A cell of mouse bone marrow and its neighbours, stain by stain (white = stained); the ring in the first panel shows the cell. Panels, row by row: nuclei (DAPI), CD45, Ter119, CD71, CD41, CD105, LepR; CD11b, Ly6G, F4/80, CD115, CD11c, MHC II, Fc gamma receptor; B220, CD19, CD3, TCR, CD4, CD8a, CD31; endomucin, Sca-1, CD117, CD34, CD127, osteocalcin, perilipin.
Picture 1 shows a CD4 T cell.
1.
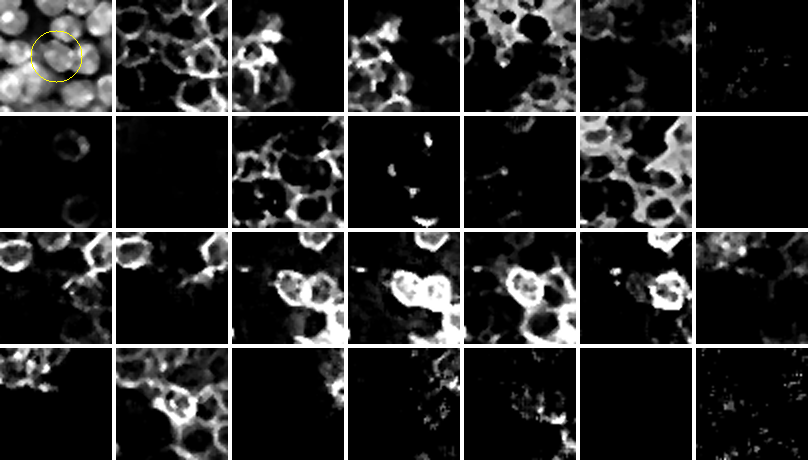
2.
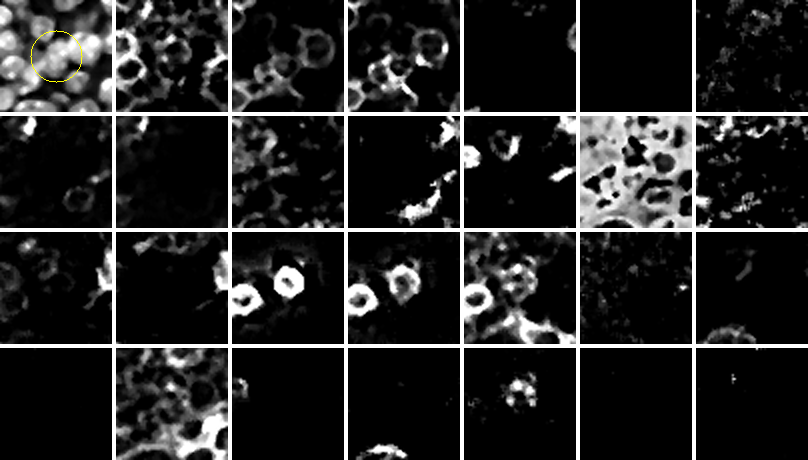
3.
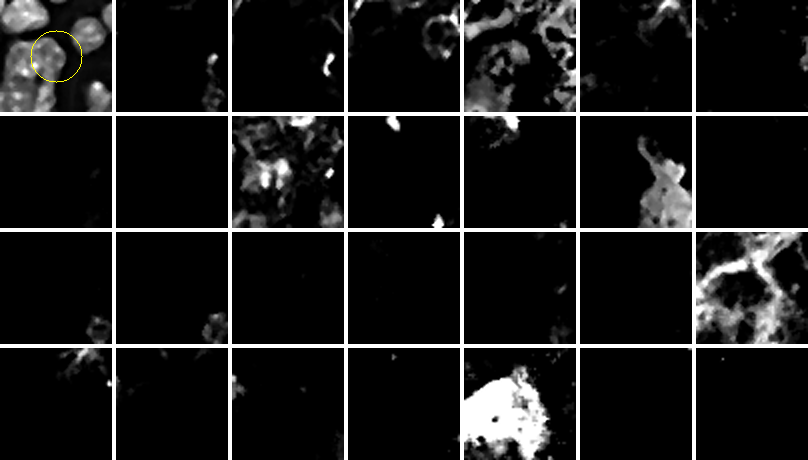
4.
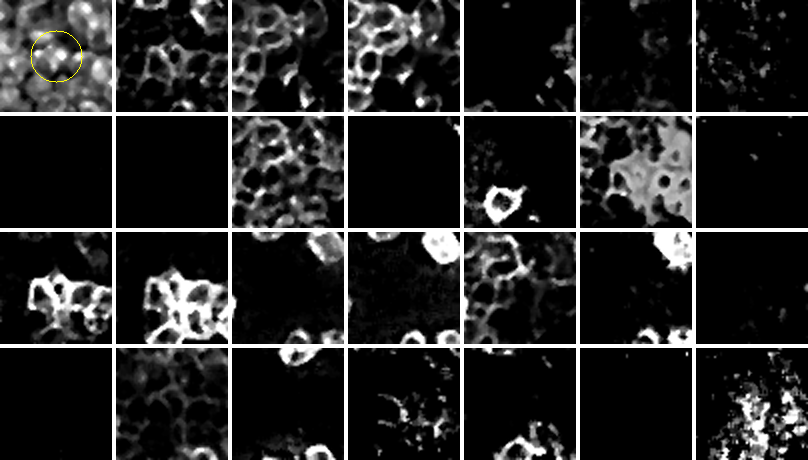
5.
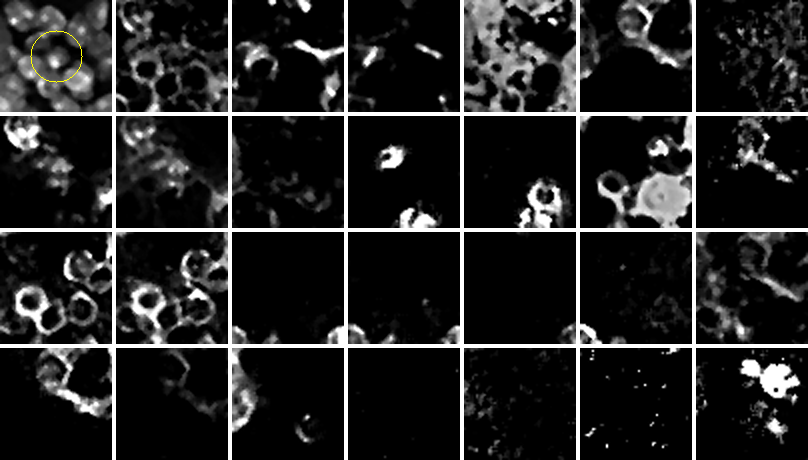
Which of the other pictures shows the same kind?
Picture 2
